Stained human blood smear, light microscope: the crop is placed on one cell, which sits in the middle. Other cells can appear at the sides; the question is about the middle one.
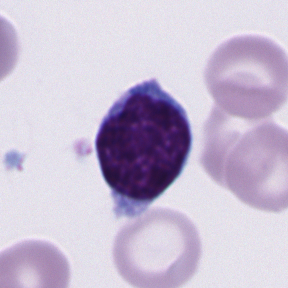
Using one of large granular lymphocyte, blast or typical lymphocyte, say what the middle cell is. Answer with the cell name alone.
typical lymphocyte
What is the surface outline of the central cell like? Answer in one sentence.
The cytoplasmic margin is uneven, whether through ragged segments or through projections.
